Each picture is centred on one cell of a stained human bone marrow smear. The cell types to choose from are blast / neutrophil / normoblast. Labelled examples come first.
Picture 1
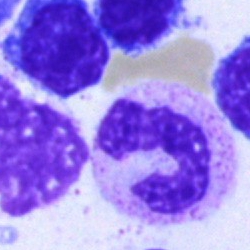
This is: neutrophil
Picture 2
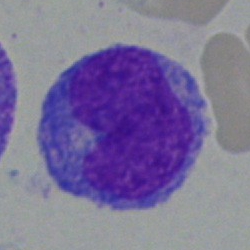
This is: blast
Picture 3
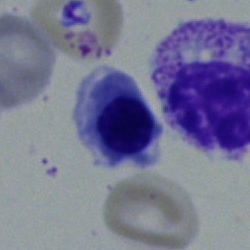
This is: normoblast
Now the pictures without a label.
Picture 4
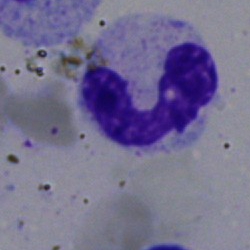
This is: neutrophil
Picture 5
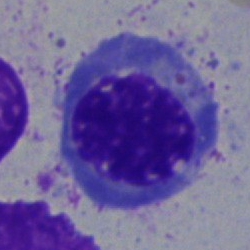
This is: normoblast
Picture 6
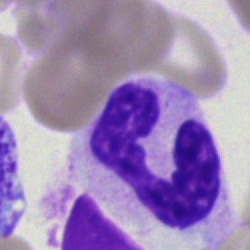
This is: neutrophil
